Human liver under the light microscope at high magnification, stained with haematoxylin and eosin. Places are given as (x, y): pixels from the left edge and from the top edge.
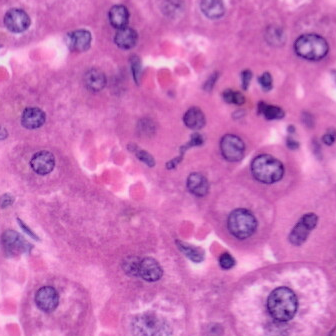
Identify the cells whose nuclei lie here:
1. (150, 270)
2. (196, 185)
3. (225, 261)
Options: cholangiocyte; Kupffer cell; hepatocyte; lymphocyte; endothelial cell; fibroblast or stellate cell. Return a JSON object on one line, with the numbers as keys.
{"1": "hepatocyte", "2": "hepatocyte", "3": "lymphocyte"}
